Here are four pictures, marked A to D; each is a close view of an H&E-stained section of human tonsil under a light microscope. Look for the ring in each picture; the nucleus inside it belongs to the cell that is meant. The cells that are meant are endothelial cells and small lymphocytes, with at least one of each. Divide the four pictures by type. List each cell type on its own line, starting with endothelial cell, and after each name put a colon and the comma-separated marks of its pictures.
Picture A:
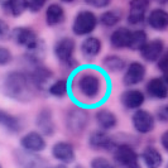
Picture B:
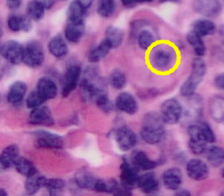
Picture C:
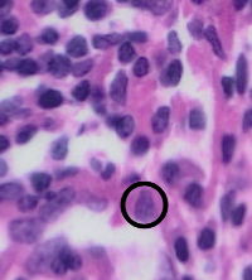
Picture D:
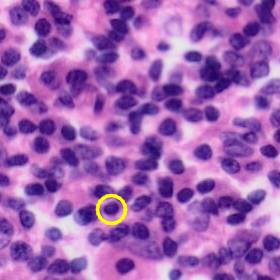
endothelial cell: B, C
small lymphocyte: A, D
